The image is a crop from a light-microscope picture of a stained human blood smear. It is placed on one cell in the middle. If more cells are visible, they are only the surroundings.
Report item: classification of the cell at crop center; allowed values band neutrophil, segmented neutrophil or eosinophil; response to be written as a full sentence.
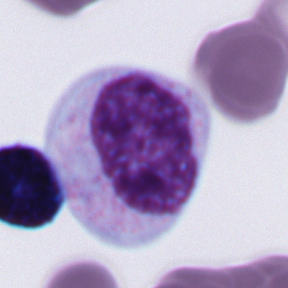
Of the cells in this crop, the central one is a band neutrophil.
